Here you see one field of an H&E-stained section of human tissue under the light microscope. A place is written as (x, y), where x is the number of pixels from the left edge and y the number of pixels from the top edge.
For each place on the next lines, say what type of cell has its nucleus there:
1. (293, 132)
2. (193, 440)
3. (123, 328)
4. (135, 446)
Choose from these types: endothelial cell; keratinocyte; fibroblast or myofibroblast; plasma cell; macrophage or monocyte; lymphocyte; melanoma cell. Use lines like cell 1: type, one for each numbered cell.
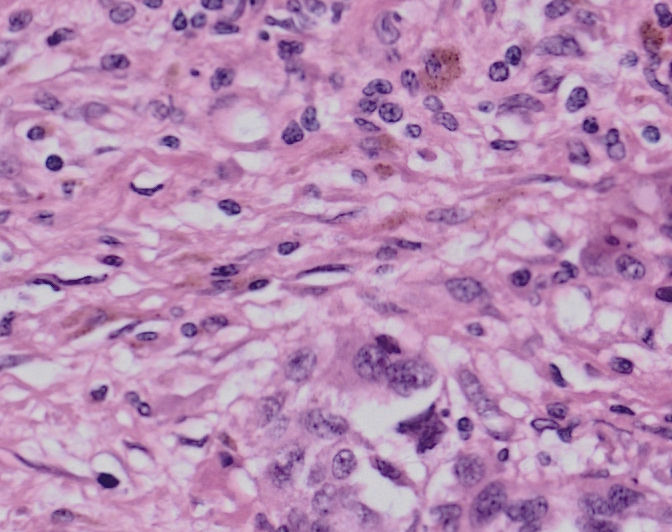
cell 1: lymphocyte
cell 2: fibroblast or myofibroblast
cell 3: fibroblast or myofibroblast
cell 4: fibroblast or myofibroblast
